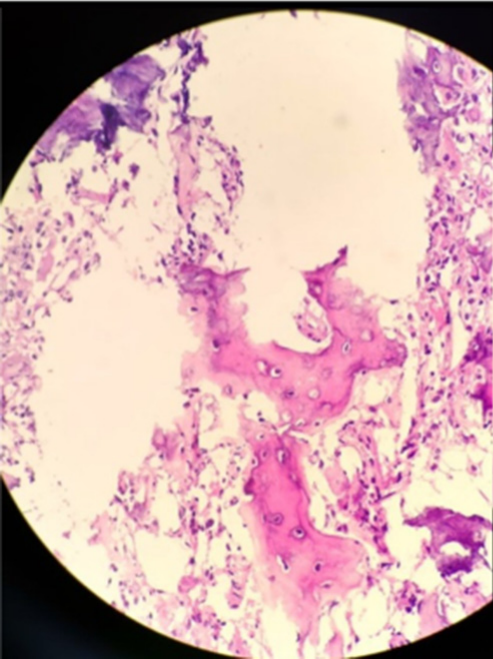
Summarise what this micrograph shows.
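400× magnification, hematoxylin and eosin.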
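Irregular, branching trabeculae of homogeneous pink osteoid run through the field, with small cells lying in clear lacunae inside the matrix. The trabeculae are separated by loose fibrovascular tissue, which holds scattered spindle-shaped and rounded cells with dark purple nuclei. Cells sit along the edges of the trabeculae.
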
